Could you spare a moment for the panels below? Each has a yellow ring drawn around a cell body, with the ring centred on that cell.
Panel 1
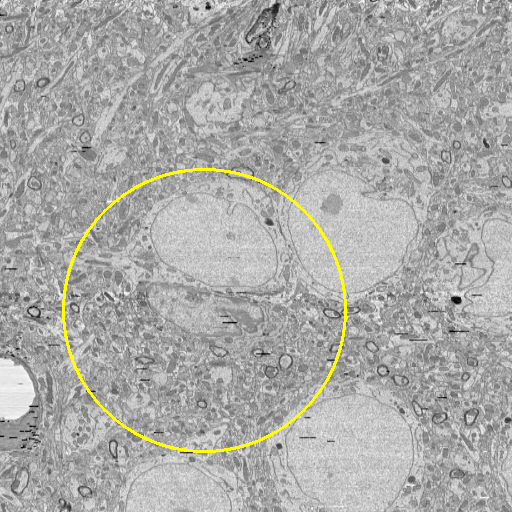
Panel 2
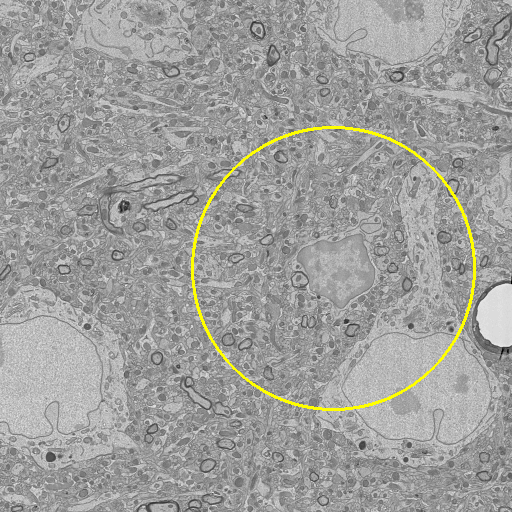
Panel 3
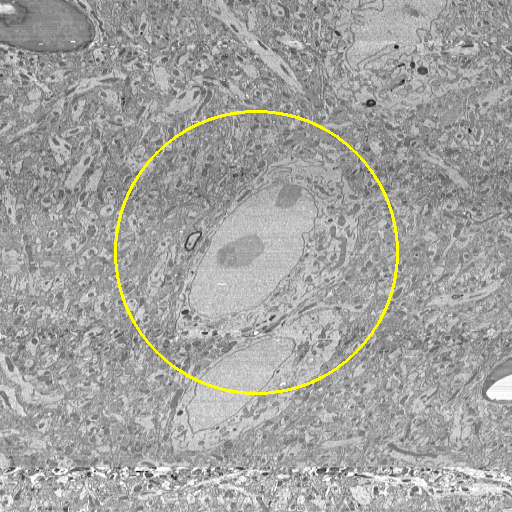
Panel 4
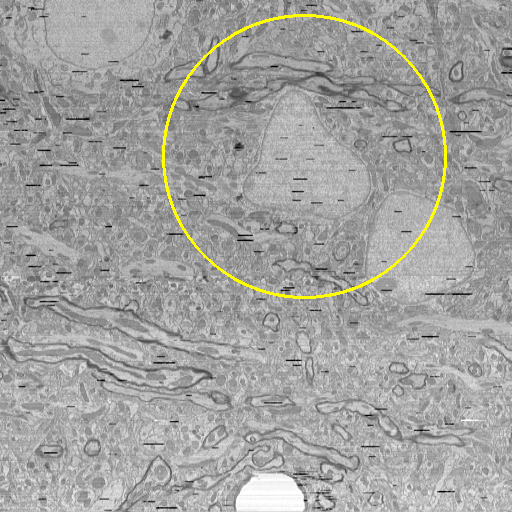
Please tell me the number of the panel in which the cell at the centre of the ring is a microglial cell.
2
